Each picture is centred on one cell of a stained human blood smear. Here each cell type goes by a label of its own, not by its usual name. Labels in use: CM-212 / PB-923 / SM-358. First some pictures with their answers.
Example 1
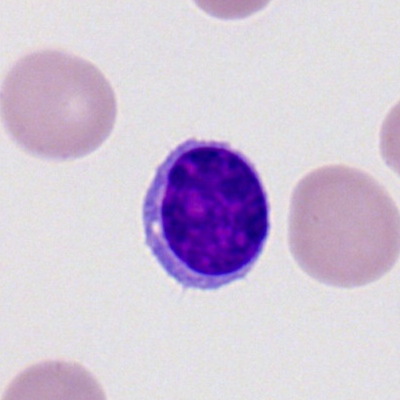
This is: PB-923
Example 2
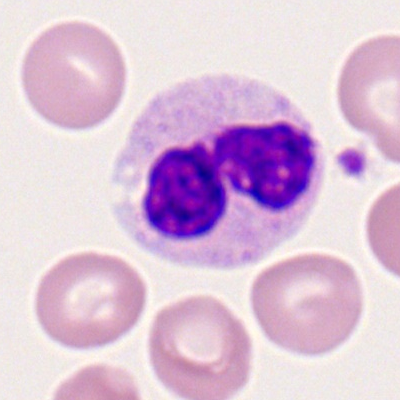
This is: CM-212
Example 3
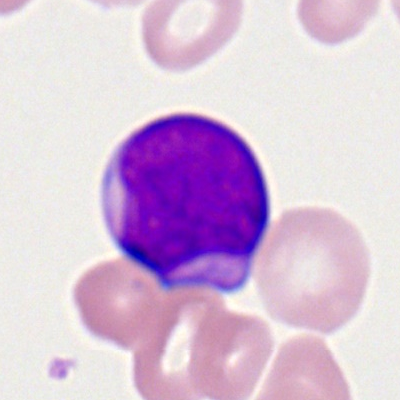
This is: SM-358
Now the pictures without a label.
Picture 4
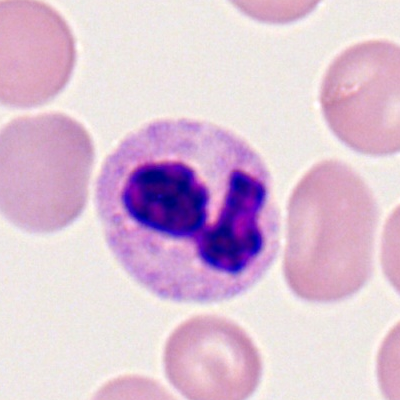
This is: CM-212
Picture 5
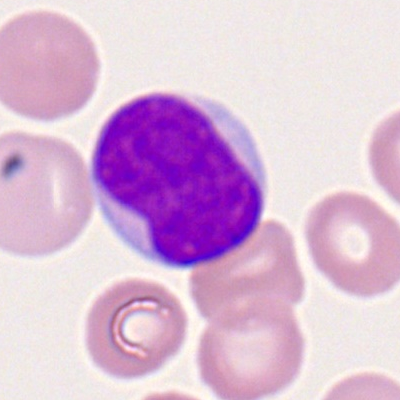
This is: PB-923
